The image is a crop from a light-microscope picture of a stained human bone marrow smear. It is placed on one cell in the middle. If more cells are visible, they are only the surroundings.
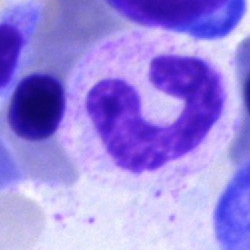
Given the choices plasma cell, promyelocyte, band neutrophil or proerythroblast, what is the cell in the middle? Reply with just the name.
band neutrophil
